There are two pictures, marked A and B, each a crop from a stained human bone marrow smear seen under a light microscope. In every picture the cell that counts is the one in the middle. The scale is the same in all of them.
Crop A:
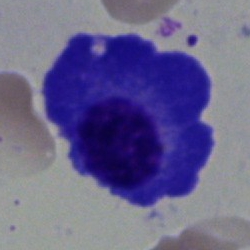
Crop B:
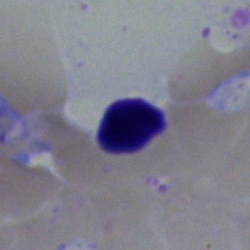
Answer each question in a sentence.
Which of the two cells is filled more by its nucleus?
In crop B the nucleus takes up the larger part of its cell.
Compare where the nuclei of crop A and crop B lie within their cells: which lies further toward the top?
In crop B the nucleus is shifted more toward the top.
